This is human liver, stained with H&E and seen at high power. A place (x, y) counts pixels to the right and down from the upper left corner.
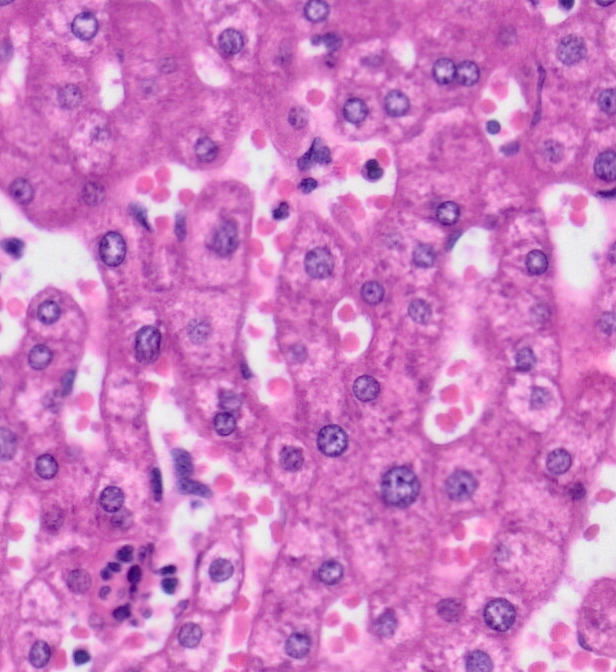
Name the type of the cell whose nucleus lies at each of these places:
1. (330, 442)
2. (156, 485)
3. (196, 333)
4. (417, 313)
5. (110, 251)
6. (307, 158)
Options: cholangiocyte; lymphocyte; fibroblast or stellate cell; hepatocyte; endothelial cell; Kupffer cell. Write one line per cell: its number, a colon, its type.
1: hepatocyte
2: fibroblast or stellate cell
3: hepatocyte
4: hepatocyte
5: hepatocyte
6: fibroblast or stellate cell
